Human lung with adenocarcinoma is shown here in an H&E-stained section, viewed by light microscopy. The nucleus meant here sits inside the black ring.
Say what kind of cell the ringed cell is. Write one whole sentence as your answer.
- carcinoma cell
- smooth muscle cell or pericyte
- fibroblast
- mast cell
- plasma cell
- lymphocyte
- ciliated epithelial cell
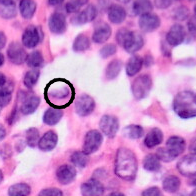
By its classification, the ringed cell is a lymphocyte.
